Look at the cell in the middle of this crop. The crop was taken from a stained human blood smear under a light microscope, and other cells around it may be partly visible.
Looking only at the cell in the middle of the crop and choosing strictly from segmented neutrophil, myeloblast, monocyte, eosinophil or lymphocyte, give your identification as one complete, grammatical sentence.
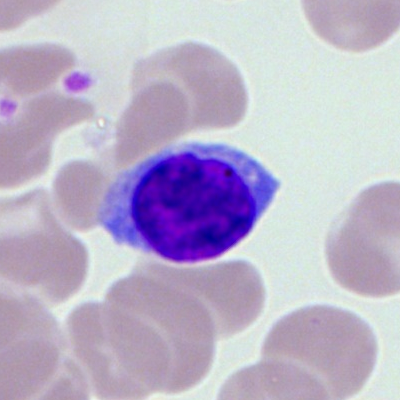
The cell marked by its central position in the crop is a lymphocyte.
